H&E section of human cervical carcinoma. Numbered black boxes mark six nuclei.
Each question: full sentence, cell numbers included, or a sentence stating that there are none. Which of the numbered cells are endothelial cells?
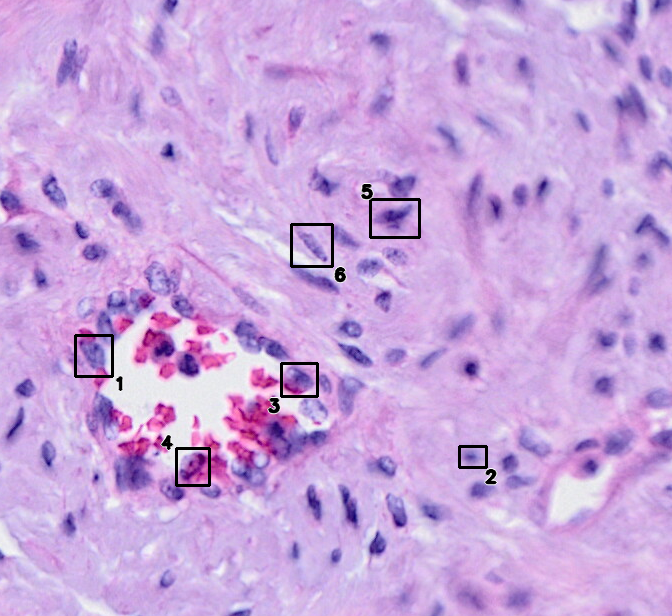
The cells tagged 1, 3 and 4 are endothelial cells in this tissue section.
